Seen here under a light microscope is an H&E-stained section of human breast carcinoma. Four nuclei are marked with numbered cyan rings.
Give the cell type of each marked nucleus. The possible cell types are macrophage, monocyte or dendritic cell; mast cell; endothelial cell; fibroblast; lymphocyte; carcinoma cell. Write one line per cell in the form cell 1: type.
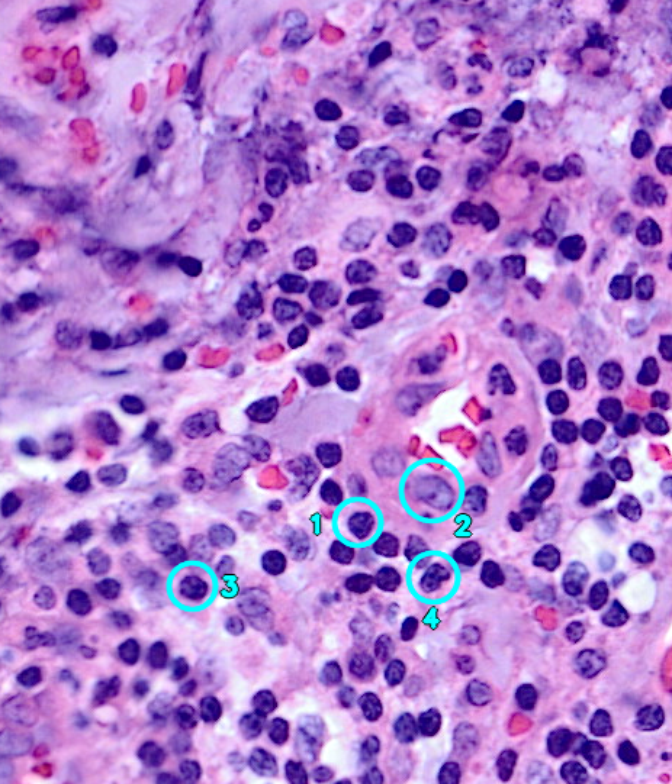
cell 1: lymphocyte
cell 2: endothelial cell
cell 3: lymphocyte
cell 4: lymphocyte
